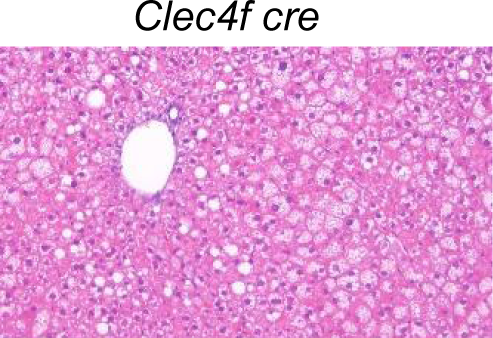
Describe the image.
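This is liver tissue in which hepatocytes are packed with clear, round vacuoles. The hepatocytes form sheets of polygonal cells with pink cytoplasm and small, dark purple, round nuclei. Nearly every cell holds one or more empty-looking round spaces, ranging from small pinpoint vacuoles to larger ones that push against the cell outline. A round, open vessel lumen lies in the upper left part of the field, with the cords of vacuolated hepatocytes arranged around it. The overall picture is of widespread fatty change of the liver cells.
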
